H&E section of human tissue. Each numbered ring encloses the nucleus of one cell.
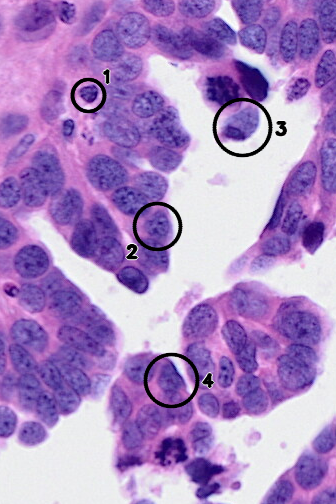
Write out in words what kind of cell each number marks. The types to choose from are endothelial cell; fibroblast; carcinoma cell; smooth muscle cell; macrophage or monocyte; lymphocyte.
Cell 1 is a lymphocyte, cell 2 is a carcinoma cell, cell 3 is a carcinoma cell and cell 4 is a carcinoma cell.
